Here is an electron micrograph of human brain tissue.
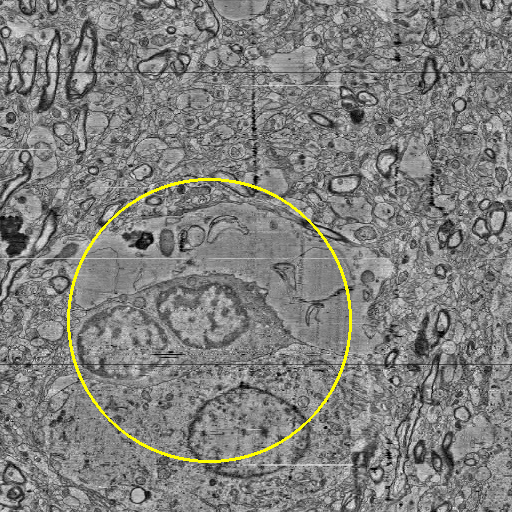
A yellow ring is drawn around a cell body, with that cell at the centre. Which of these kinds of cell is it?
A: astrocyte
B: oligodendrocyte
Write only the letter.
B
